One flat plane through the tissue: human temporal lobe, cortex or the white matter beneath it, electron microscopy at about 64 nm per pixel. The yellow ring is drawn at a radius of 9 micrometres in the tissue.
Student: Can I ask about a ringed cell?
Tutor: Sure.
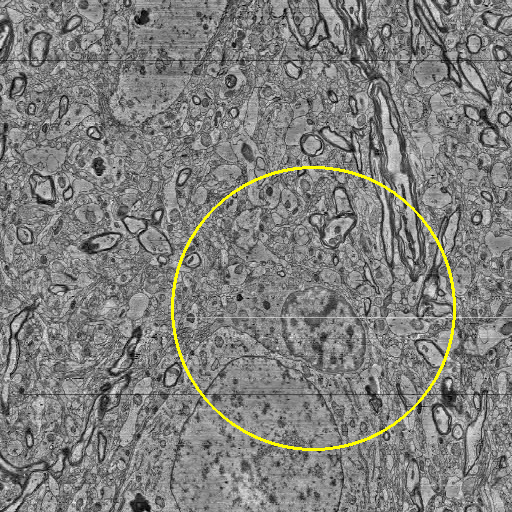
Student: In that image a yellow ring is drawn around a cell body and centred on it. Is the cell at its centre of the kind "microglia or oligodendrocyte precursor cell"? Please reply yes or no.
No, the cell is of another kind.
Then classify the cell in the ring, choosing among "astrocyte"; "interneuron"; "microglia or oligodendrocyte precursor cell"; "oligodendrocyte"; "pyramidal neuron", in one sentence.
The cell this ring marks is an oligodendrocyte.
